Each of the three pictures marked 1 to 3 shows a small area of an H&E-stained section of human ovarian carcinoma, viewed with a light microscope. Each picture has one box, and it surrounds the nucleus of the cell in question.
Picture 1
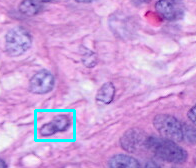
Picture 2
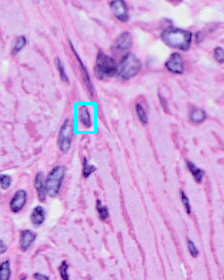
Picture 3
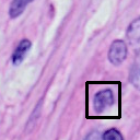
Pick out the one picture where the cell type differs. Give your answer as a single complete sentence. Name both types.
The others show fibroblasts, but picture 3 shows a lymphocyte.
